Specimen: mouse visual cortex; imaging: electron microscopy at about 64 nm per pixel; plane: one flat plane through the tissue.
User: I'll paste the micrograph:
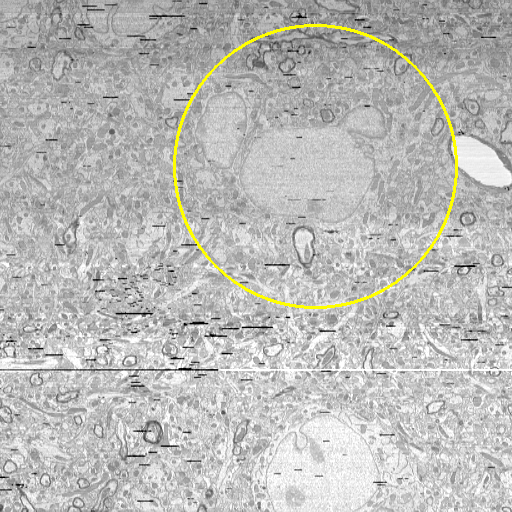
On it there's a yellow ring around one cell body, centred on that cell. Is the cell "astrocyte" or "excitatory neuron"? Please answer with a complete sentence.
The cell ringed in yellow is an astrocyte.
